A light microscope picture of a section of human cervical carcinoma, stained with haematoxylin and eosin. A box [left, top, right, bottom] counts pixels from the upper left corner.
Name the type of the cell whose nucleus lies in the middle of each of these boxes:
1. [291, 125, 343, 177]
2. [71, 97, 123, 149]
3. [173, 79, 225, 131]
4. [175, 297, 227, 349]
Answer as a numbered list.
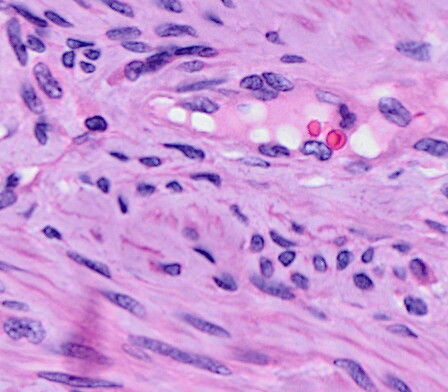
1. endothelial cell
2. lymphocyte
3. endothelial cell
4. smooth muscle cell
